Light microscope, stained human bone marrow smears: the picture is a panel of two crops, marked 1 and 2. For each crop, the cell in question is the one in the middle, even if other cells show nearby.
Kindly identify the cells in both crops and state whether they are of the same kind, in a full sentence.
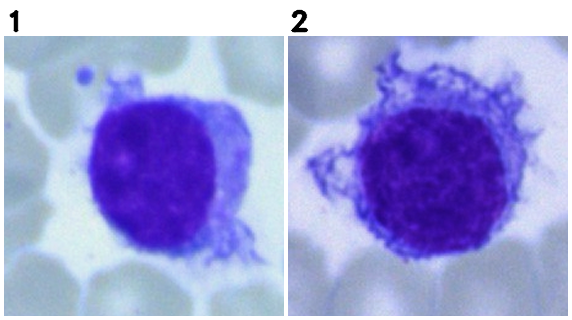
Yes, it is hairy cells that both crops show.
